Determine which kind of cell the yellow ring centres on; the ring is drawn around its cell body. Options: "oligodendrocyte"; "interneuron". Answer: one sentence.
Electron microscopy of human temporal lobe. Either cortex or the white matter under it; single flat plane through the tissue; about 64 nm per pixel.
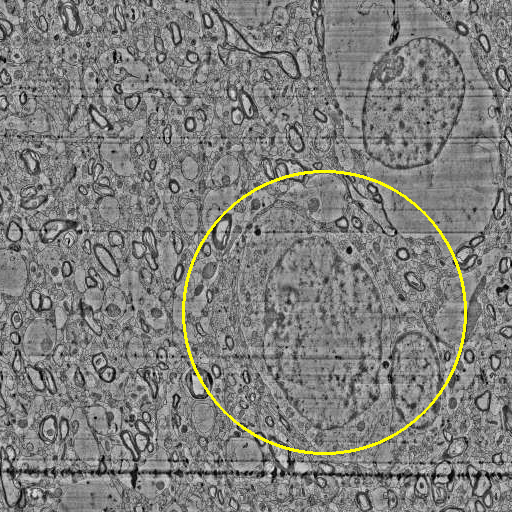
The ring centres on an interneuron.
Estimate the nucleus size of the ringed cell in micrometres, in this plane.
Roughly 12 micrometres by 8 micrometres, so the nucleus is clearly longer than it is wide in this plane.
